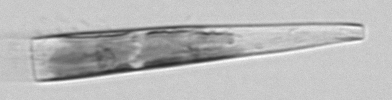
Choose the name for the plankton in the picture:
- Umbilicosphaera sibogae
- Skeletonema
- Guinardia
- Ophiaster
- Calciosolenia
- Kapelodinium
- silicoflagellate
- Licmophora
Licmophora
